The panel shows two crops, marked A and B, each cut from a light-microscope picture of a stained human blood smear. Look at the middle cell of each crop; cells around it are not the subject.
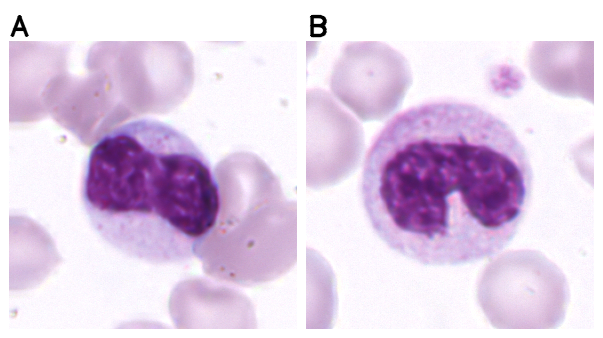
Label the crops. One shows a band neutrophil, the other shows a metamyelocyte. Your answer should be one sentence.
Crop A has been identified as a metamyelocyte, and crop B has been identified as a band neutrophil.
